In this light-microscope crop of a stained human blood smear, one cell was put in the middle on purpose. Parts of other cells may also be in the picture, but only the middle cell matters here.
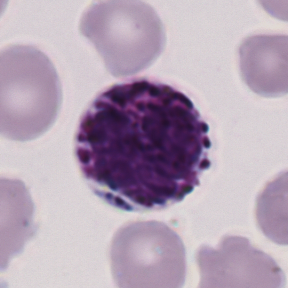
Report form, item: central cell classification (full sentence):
Centrally within this crop lies a basophil.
